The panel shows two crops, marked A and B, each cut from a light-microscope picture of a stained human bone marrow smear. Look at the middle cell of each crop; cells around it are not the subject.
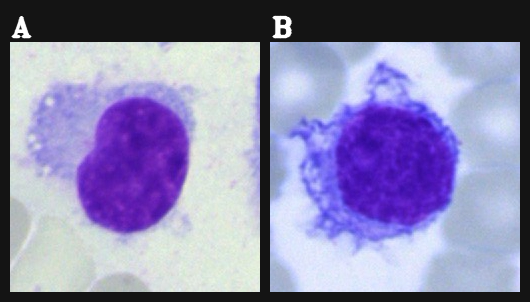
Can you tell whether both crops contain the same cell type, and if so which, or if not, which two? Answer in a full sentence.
Yes, hairy cells are the central cells in the two crops.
